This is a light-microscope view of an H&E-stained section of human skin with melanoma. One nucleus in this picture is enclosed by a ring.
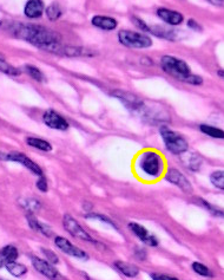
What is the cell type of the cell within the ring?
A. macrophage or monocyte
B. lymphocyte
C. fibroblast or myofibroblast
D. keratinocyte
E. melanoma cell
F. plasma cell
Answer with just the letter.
F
